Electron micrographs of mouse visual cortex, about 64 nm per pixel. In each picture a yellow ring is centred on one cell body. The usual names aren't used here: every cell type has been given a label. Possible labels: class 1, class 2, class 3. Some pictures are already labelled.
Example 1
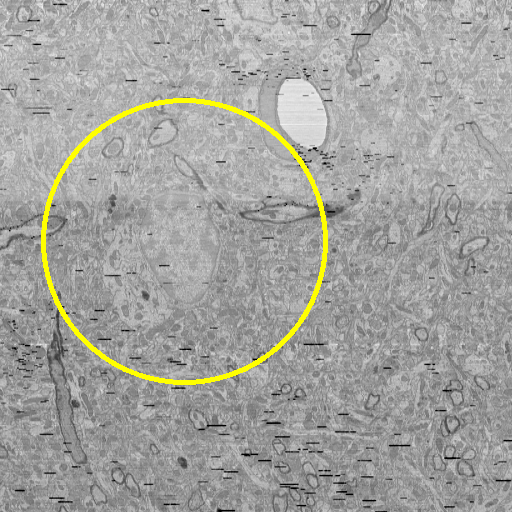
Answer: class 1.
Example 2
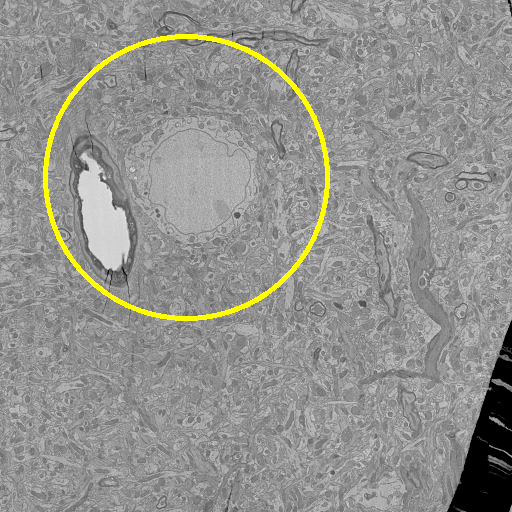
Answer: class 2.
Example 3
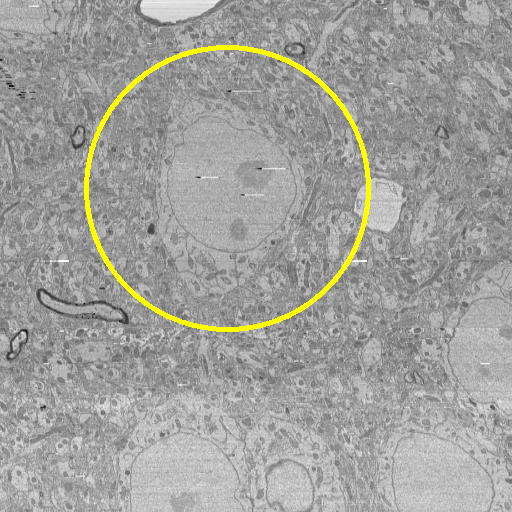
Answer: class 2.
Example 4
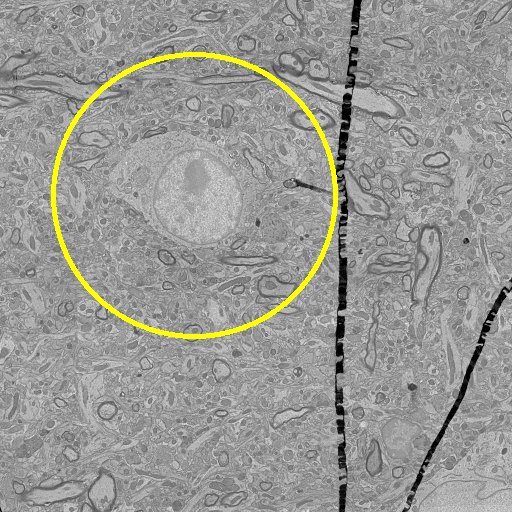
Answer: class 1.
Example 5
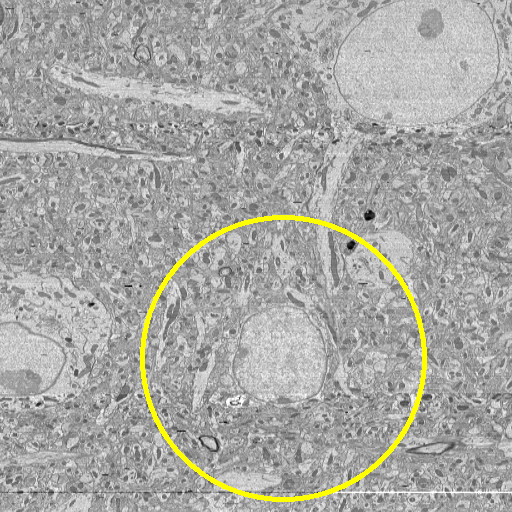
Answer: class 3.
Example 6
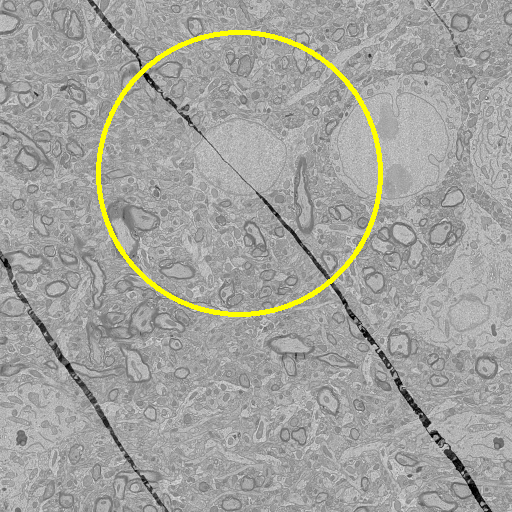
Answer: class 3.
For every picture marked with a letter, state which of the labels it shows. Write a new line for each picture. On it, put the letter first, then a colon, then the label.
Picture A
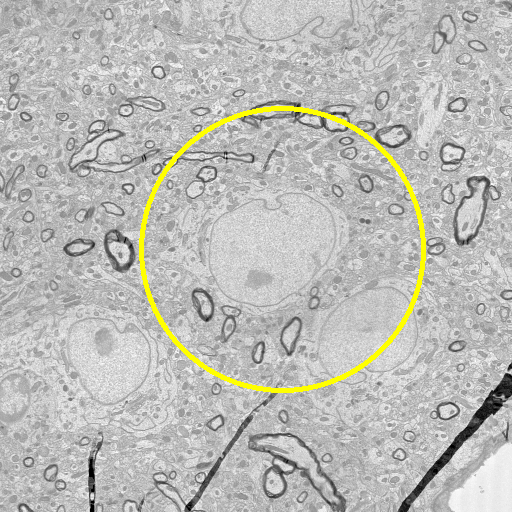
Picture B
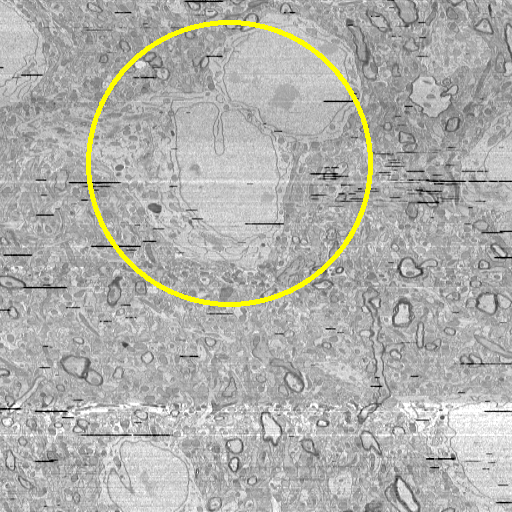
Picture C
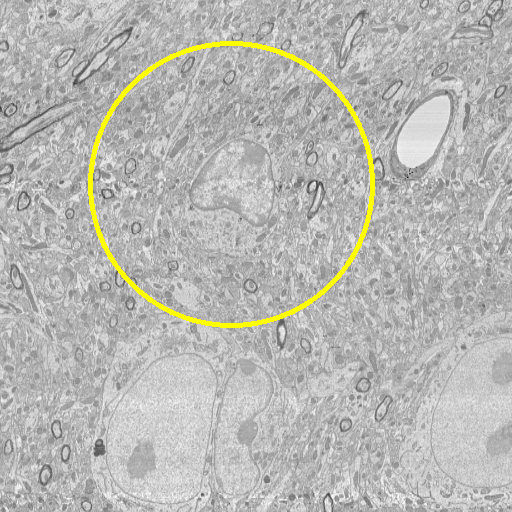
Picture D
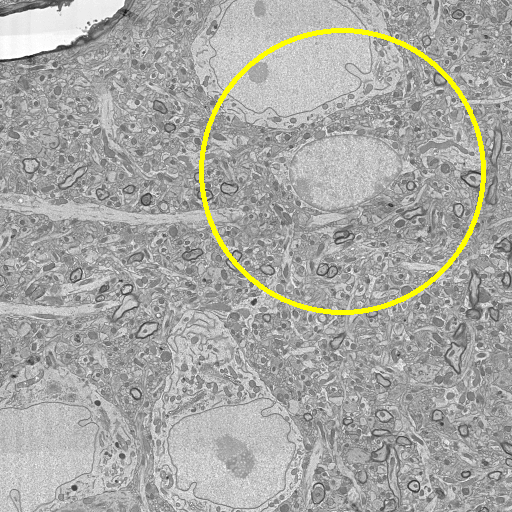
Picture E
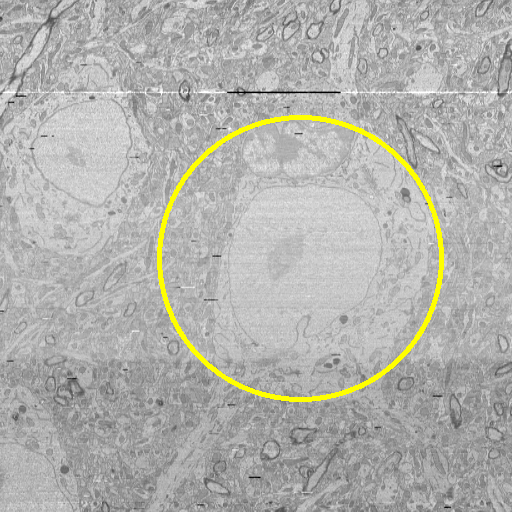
A: class 2.
B: class 2.
C: class 1.
D: class 3.
E: class 2.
